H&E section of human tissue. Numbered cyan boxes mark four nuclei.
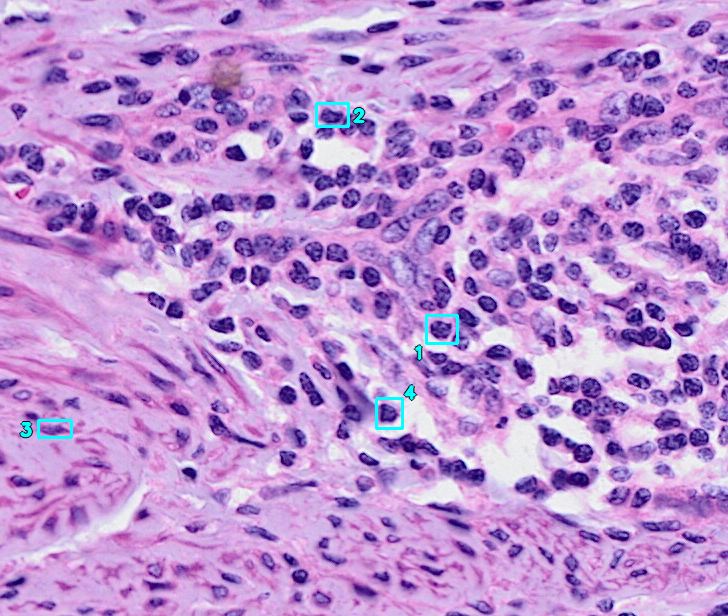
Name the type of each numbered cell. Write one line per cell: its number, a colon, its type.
1: lymphocyte
2: lymphocyte
3: smooth muscle cell
4: lymphocyte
